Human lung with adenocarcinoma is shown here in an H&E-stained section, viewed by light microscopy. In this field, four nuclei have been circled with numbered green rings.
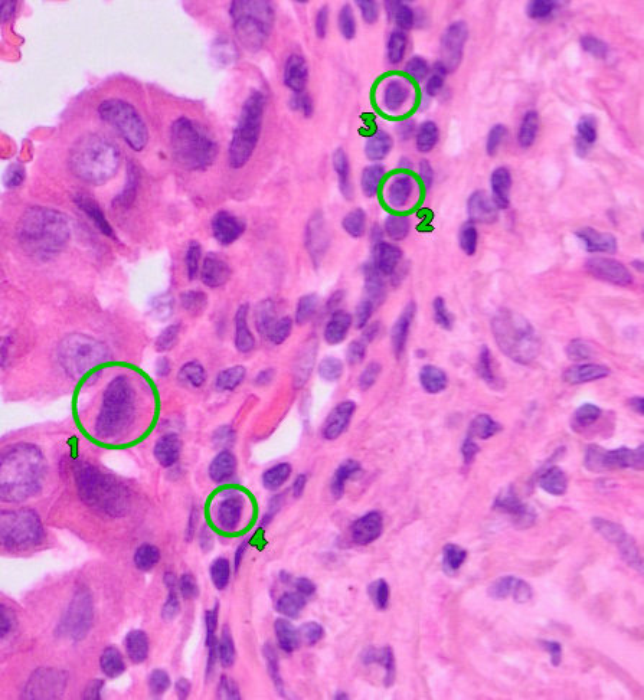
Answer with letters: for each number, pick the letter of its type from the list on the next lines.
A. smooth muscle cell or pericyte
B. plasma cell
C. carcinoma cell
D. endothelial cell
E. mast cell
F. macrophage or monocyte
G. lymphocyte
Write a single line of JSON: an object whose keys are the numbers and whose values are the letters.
{"1": "C", "2": "G", "3": "G", "4": "B"}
